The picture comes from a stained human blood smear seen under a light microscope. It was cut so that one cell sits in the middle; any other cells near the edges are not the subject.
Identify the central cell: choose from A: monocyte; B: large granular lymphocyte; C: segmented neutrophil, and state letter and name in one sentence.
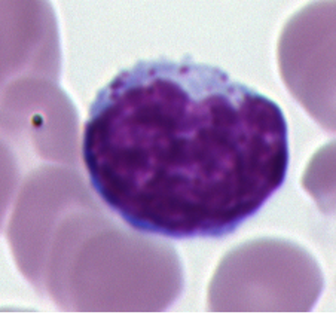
Option B is right, the centrally situated cell being a large granular lymphocyte.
